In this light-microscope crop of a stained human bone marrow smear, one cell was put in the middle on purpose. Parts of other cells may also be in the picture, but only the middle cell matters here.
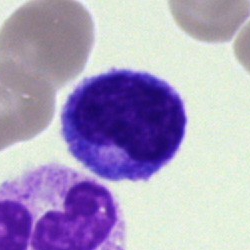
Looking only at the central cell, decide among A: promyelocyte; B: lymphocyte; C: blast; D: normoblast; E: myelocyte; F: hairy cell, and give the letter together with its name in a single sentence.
The correct identification, given in option B, is that the central cell is a lymphocyte.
